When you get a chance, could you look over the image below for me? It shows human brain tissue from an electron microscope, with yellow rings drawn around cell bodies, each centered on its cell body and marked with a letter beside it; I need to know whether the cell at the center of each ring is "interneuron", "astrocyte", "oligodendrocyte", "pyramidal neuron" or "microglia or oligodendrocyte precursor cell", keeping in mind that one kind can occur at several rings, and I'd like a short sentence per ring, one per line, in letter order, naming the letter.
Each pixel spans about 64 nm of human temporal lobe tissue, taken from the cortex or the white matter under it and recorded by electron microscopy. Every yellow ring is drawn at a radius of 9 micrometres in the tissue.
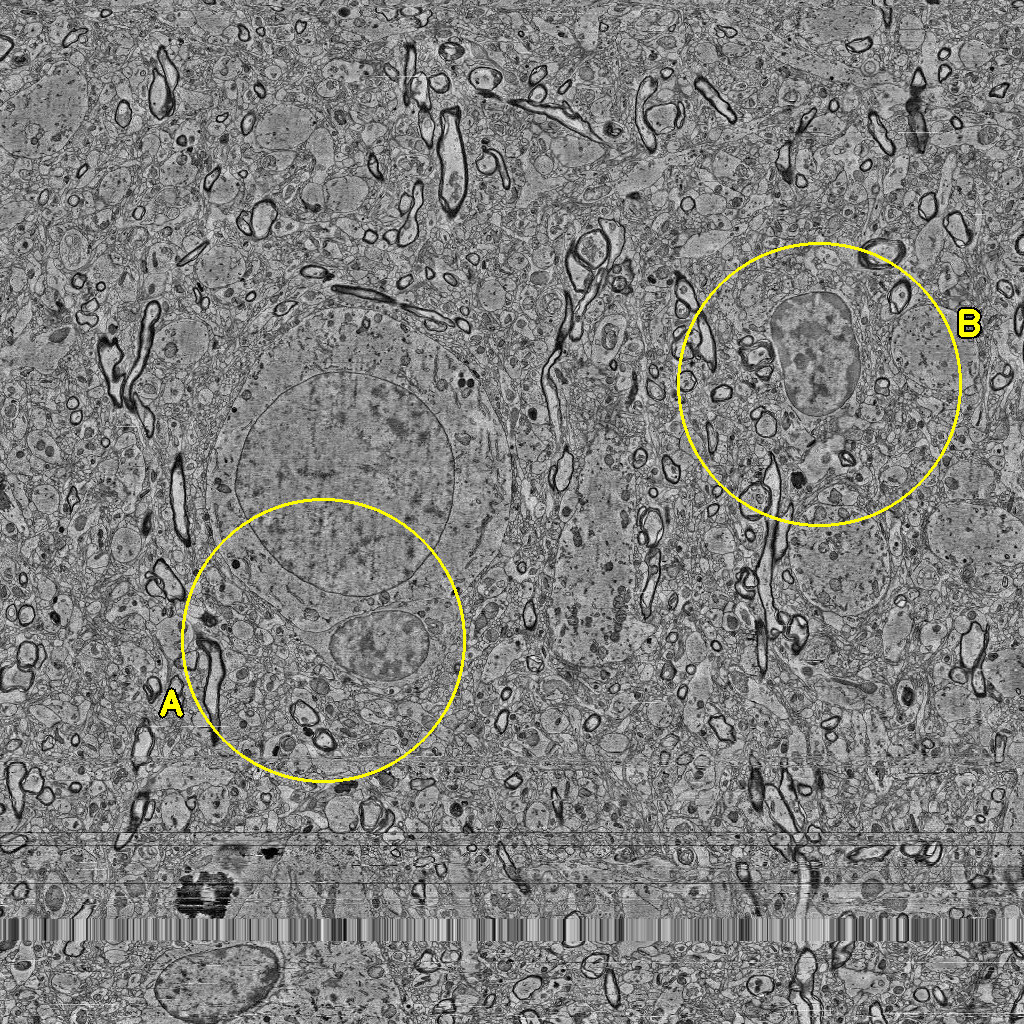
Ring A is centered on an oligodendrocyte.
Ring B is centered on a microglial cell or oligodendrocyte precursor cell.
